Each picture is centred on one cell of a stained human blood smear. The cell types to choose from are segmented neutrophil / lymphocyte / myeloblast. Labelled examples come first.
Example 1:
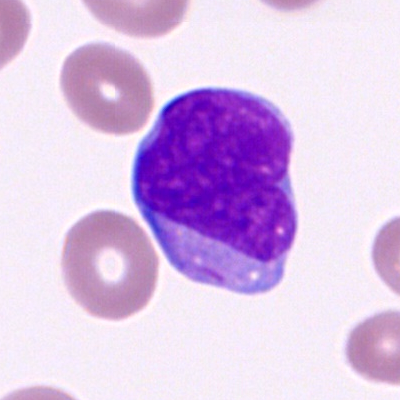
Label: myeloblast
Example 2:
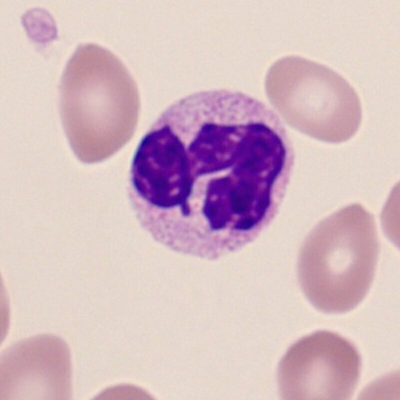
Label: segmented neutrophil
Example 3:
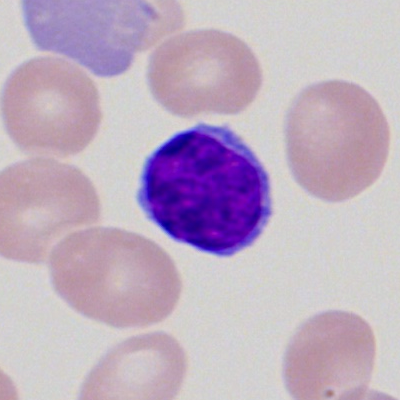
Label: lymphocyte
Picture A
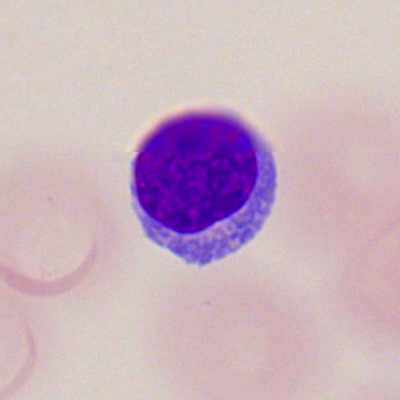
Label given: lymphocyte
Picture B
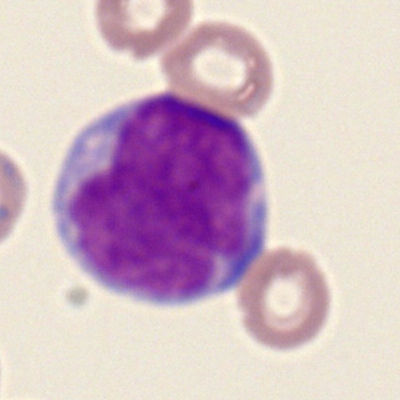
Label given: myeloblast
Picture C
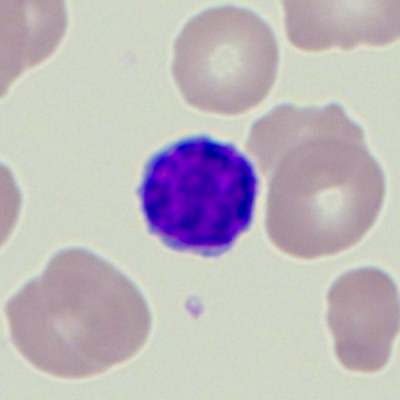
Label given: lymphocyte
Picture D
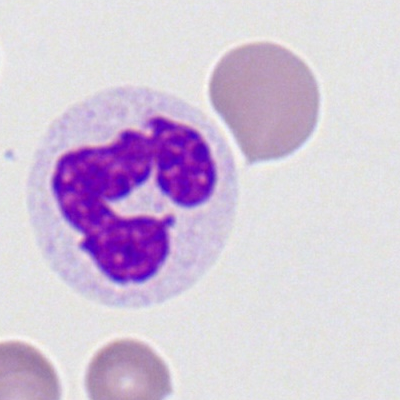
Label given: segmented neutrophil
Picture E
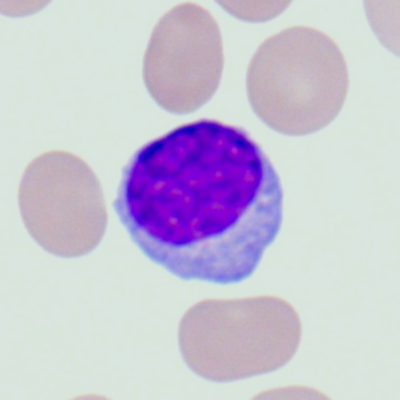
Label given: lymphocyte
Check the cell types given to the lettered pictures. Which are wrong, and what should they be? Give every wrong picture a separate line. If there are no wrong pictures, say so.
None of the labels needs changing.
